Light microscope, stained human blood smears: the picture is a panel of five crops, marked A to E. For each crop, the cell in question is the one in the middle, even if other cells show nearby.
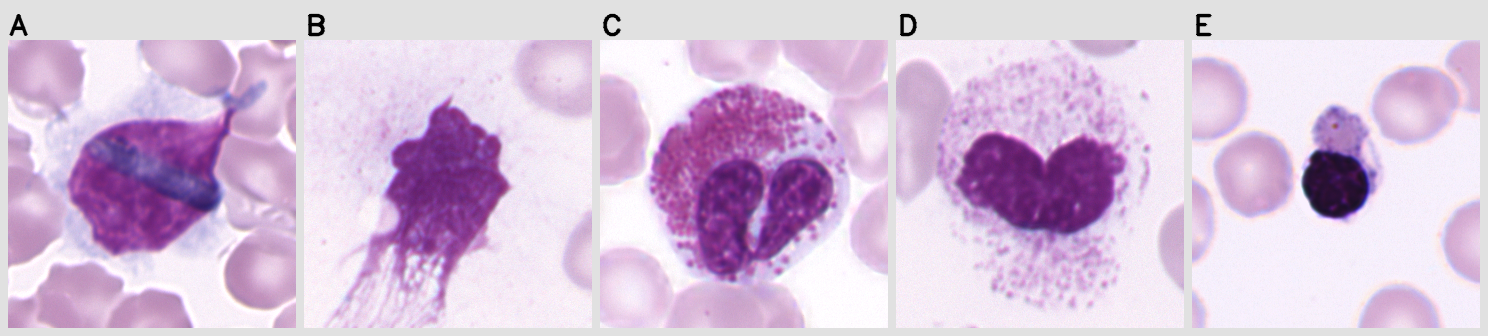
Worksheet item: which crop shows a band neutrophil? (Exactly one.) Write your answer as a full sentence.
When the crops are compared, crop D is the one showing a band neutrophil.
